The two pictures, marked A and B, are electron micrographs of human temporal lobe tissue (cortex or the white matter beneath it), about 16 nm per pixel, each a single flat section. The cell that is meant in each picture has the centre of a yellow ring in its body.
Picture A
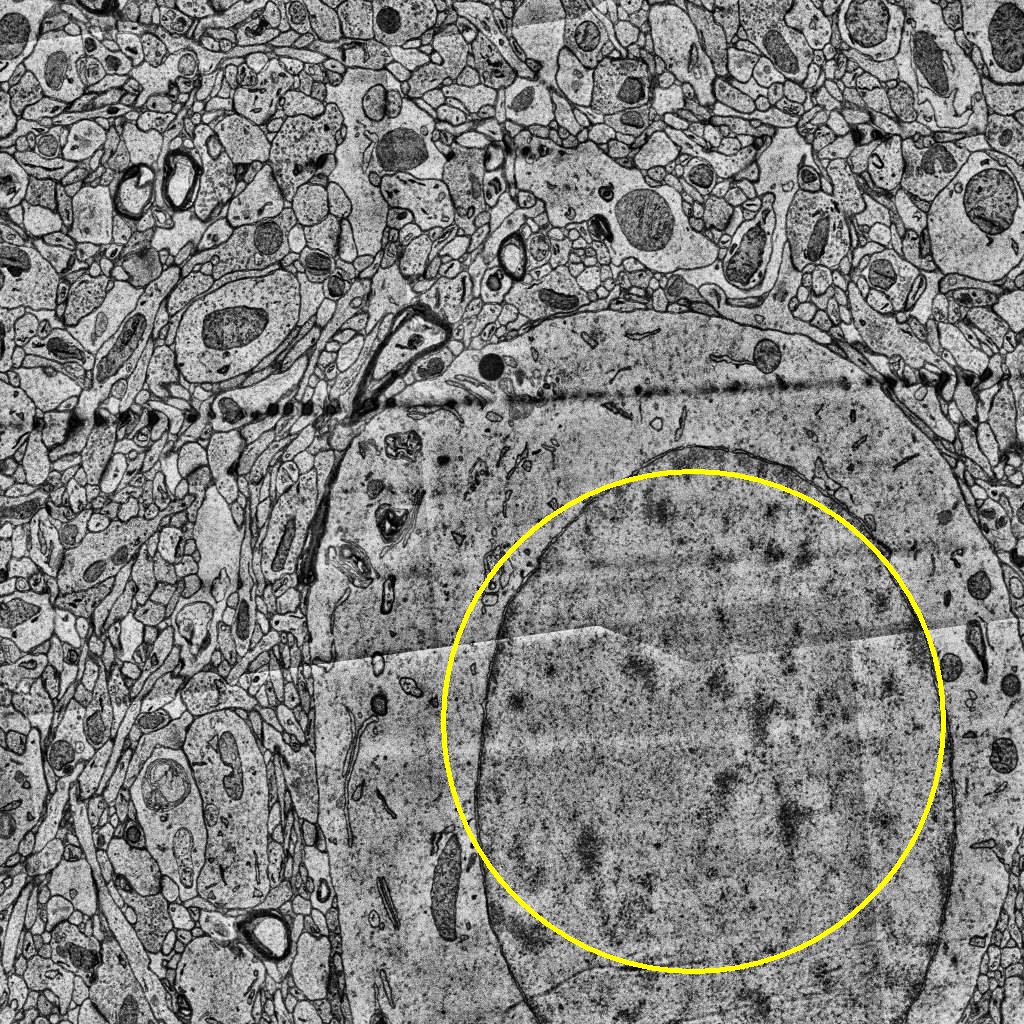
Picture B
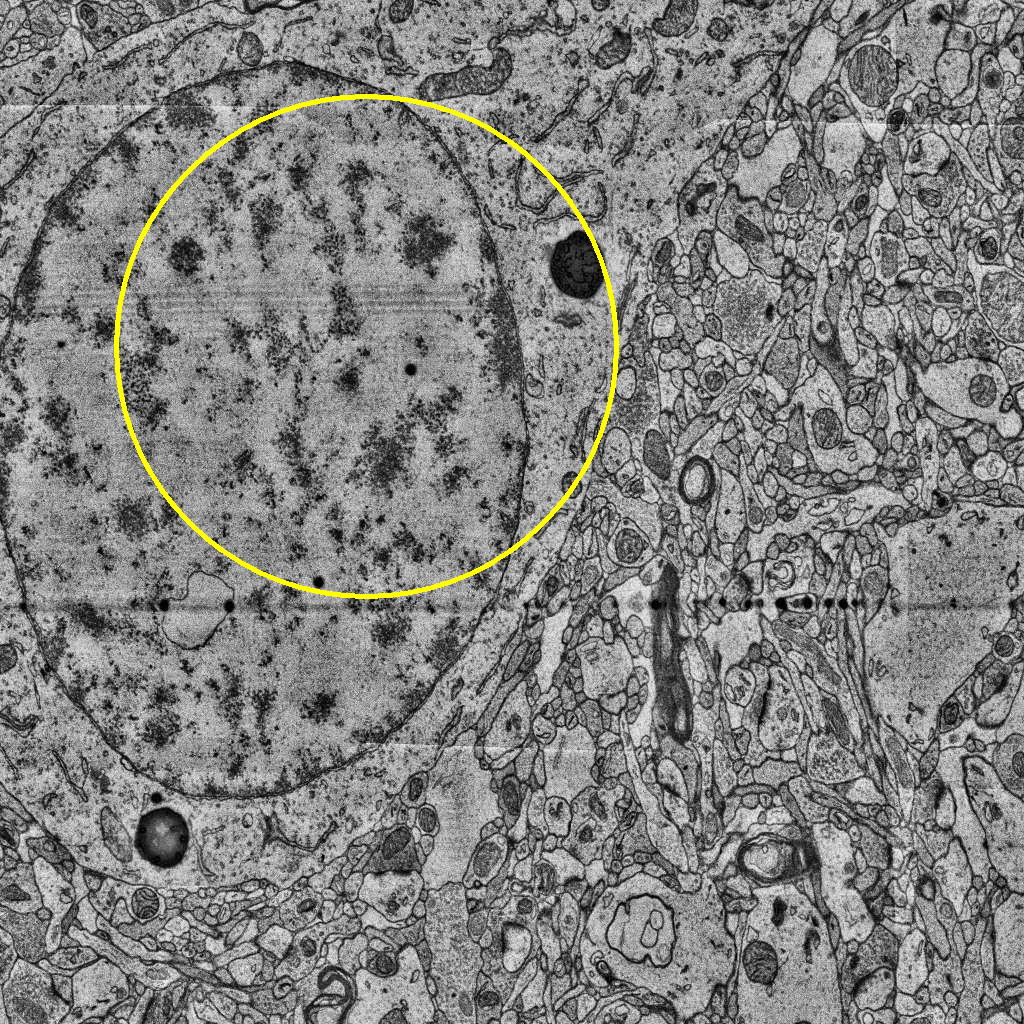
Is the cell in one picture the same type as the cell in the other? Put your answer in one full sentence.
Yes, both cells are pyramidal neurons.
